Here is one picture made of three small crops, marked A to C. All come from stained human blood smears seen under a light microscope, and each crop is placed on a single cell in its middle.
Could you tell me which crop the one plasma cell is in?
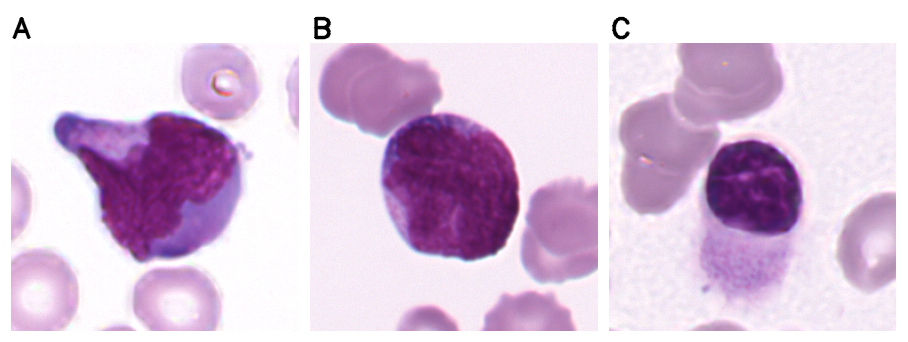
C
